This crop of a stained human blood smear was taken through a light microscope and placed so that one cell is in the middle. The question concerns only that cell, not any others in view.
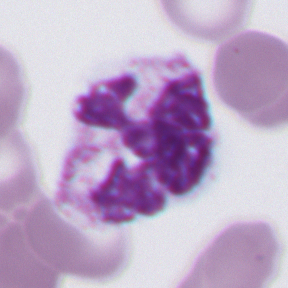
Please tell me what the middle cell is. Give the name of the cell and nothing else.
neutrophil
